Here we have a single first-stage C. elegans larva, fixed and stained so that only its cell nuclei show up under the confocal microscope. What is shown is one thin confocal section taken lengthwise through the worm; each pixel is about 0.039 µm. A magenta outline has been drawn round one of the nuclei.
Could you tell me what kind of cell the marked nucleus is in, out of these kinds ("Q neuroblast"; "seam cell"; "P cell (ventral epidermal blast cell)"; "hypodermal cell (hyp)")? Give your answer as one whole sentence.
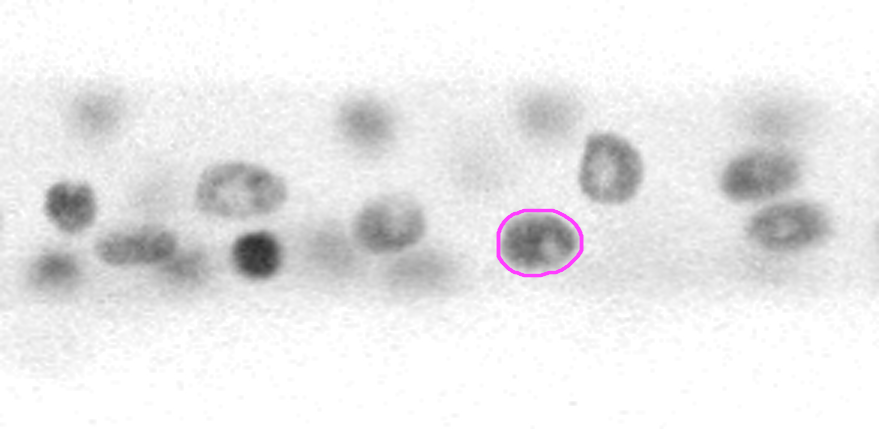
The marked cell is a P cell (ventral epidermal blast cell).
